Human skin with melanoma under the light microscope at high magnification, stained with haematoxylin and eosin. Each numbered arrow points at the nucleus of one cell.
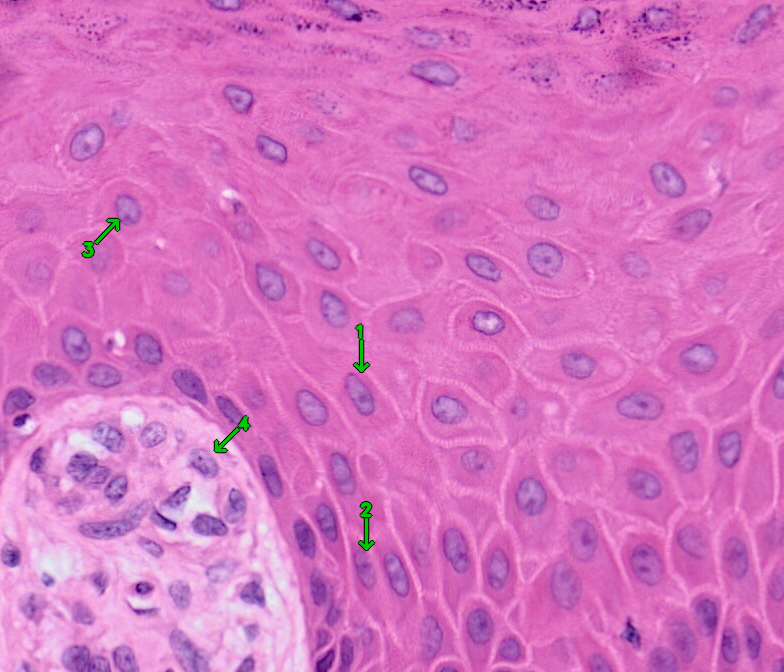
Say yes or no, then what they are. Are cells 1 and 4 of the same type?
No, cell 1 is a keratinocyte and cell 4 is an endothelial cell.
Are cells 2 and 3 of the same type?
Yes, both are keratinocytes.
